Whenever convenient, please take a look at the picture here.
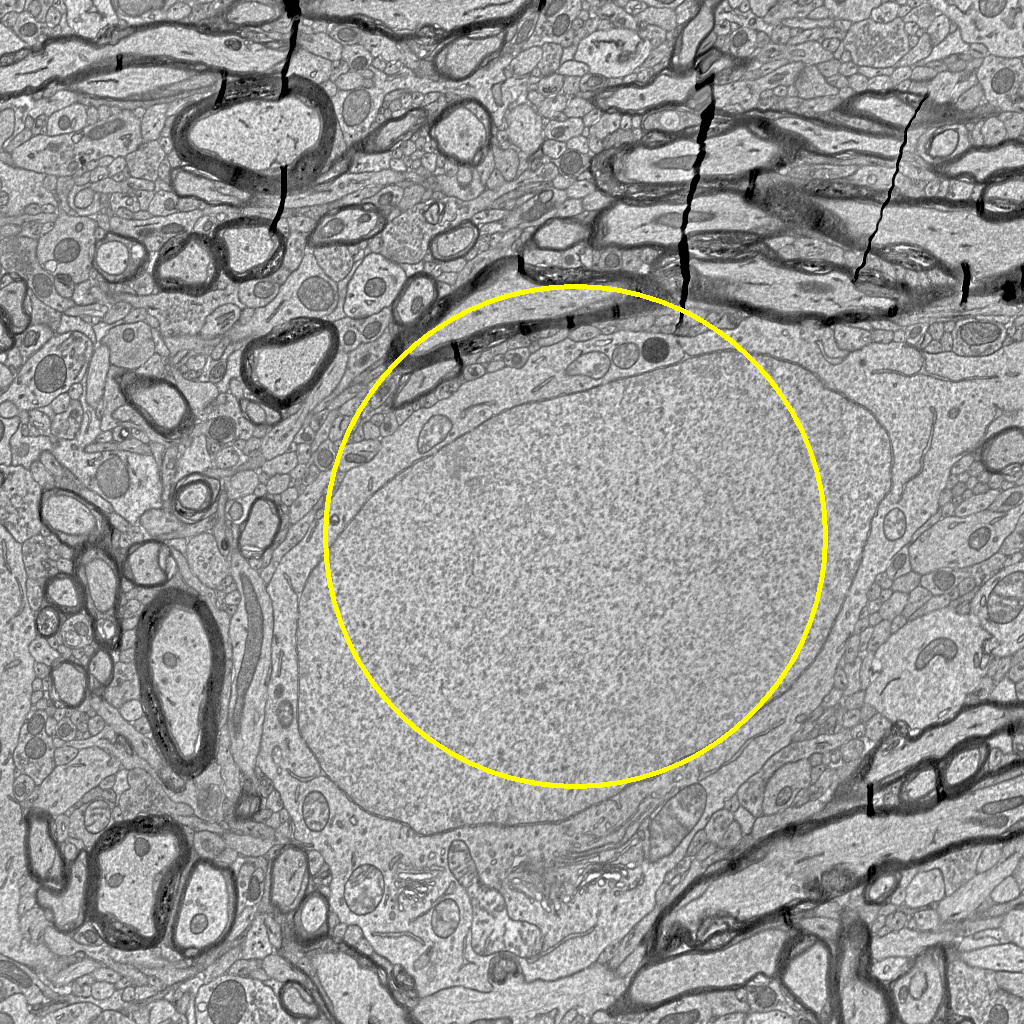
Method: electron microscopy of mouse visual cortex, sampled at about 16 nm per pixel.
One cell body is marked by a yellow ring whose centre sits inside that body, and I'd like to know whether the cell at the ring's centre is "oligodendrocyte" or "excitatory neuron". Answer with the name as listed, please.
excitatory neuron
